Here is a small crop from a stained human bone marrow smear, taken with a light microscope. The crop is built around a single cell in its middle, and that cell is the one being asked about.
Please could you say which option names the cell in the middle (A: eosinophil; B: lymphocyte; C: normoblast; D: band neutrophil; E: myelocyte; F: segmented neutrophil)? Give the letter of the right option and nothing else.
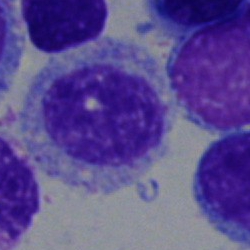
E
